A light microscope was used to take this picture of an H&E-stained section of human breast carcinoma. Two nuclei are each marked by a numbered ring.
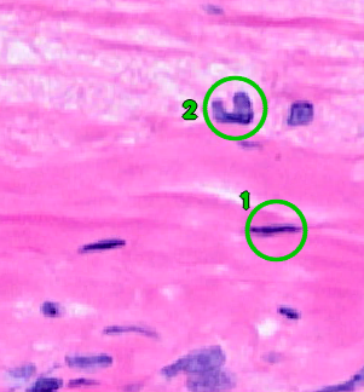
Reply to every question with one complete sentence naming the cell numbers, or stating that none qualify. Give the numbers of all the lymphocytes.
Only the cell at mark 2 is a lymphocyte, and no other marked cell is.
